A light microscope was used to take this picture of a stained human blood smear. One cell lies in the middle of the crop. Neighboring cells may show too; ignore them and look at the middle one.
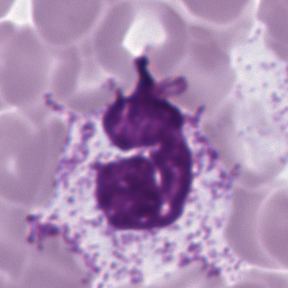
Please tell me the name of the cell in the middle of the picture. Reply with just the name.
segmented neutrophil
